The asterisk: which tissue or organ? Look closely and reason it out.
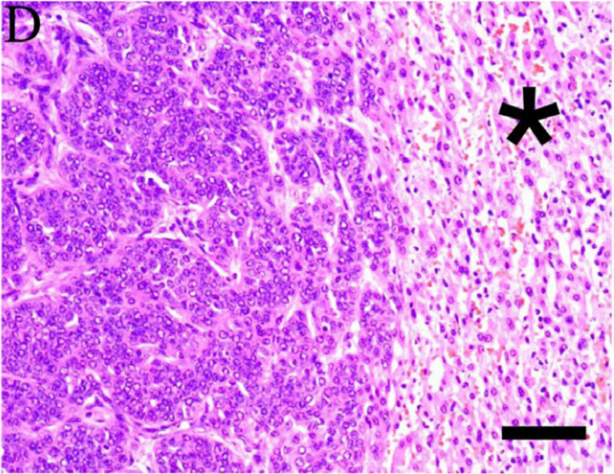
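Cords of pink polygonal cells with round central nuclei. Red blood cells in narrow channels between the cords.
Answer: liver parenchyma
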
